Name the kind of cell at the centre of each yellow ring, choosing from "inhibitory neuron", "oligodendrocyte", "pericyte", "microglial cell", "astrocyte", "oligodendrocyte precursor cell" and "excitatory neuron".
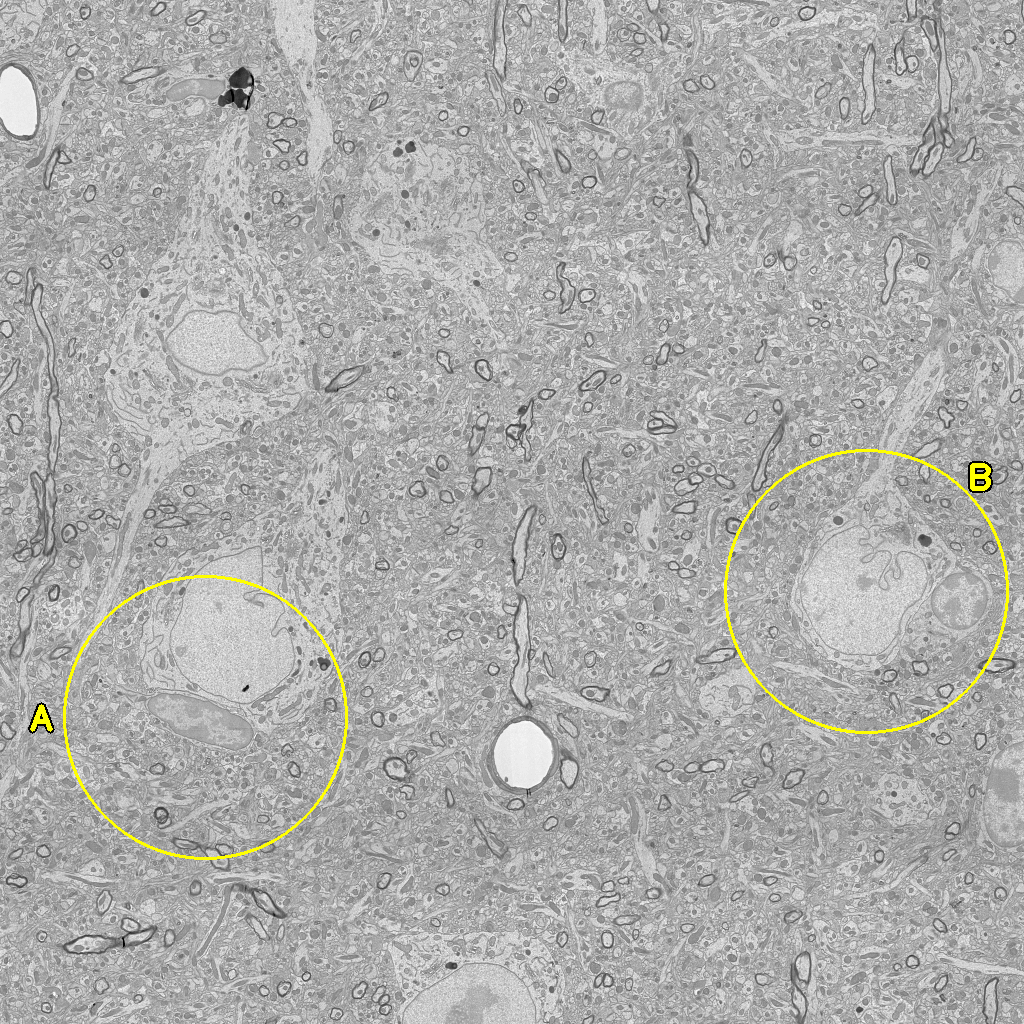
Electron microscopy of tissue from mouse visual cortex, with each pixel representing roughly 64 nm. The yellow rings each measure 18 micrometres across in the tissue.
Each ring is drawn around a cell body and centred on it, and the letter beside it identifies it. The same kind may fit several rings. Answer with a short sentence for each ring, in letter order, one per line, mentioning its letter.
Ring A is drawn around a microglial cell.
Ring B is drawn around an inhibitory neuron.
